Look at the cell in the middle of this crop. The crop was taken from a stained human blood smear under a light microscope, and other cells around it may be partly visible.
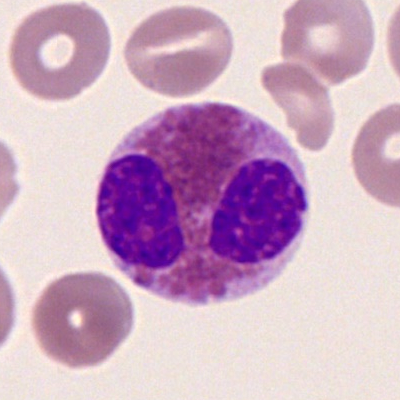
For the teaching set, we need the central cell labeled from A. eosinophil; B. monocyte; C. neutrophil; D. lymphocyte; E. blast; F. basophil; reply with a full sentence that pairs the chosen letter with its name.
Here the right option is A, as the cell in the middle is an eosinophil.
